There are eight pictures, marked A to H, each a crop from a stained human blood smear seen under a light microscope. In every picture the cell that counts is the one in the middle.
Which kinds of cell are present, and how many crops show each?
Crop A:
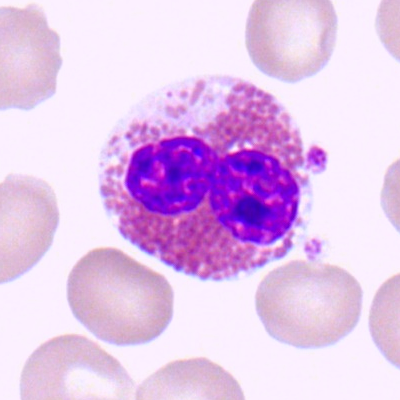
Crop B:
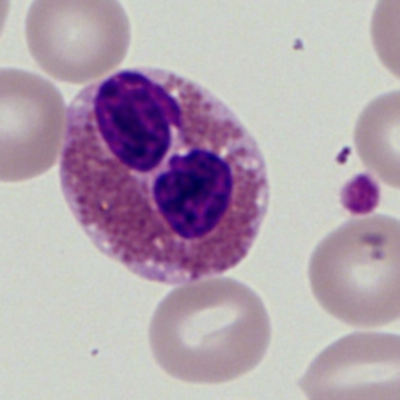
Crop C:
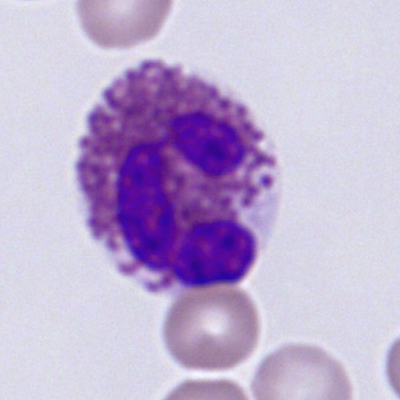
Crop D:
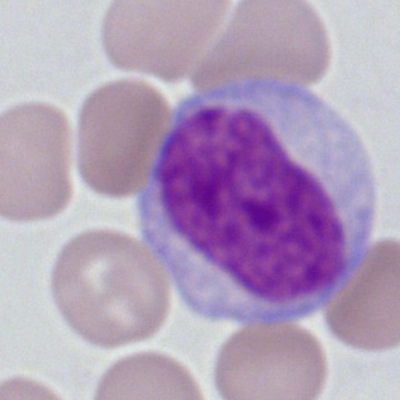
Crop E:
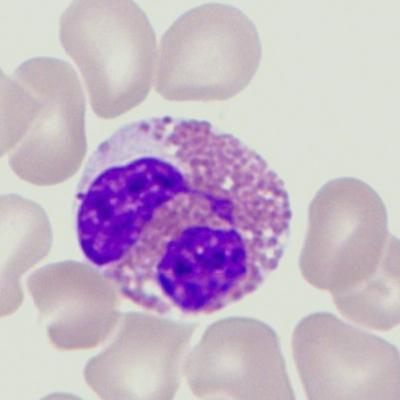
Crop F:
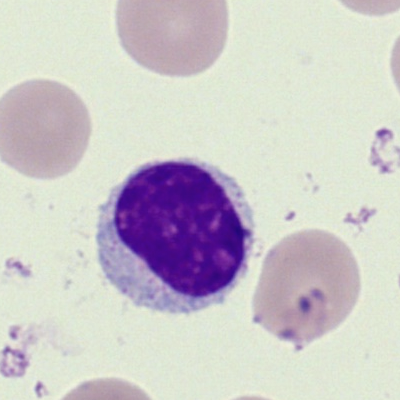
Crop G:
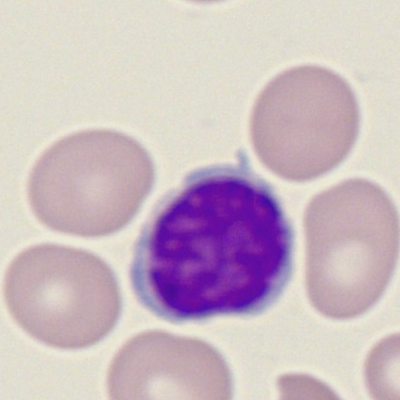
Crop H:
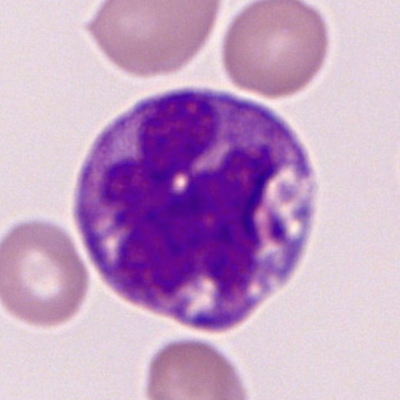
eosinophil: 4
monocyte: 2
lymphocyte: 2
